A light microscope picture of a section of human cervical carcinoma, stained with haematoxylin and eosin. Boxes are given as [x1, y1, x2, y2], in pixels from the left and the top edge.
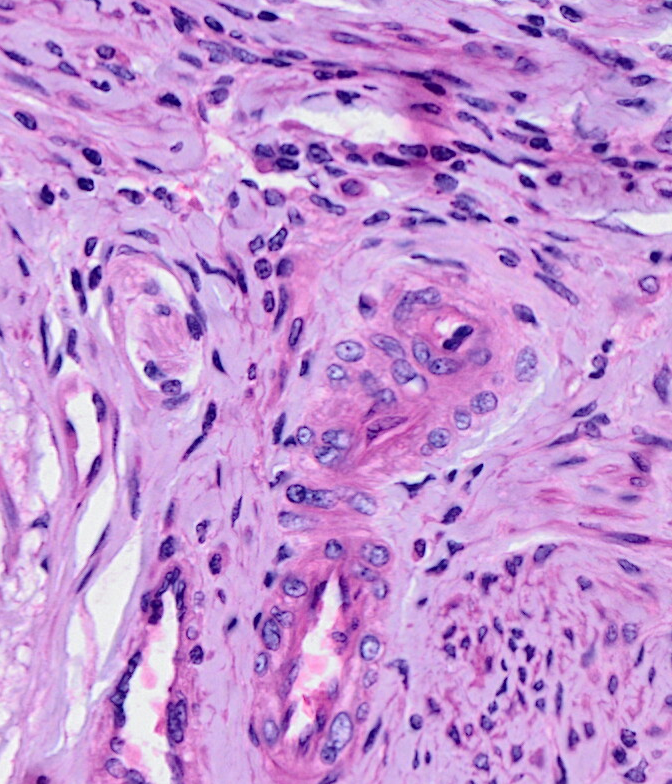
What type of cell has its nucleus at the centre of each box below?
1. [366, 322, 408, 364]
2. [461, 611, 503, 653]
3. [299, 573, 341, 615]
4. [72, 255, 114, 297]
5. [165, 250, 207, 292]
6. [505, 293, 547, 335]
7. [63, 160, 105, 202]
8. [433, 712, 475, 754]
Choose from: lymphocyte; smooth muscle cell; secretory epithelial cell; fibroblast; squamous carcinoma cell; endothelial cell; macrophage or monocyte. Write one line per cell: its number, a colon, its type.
1: smooth muscle cell
2: smooth muscle cell
3: endothelial cell
4: lymphocyte
5: fibroblast
6: lymphocyte
7: lymphocyte
8: smooth muscle cell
